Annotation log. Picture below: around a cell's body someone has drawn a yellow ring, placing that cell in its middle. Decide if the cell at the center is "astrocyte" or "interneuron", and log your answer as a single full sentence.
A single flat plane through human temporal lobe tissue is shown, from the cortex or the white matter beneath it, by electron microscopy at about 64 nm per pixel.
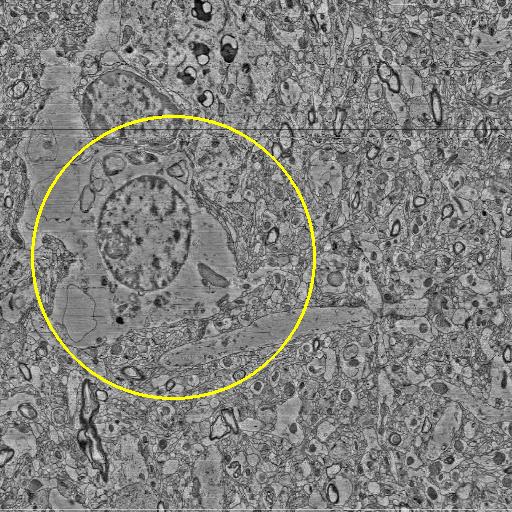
My entry records an astrocyte as the cell sitting at the center of the yellow ring.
